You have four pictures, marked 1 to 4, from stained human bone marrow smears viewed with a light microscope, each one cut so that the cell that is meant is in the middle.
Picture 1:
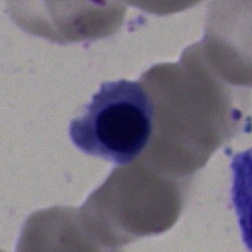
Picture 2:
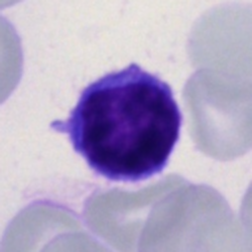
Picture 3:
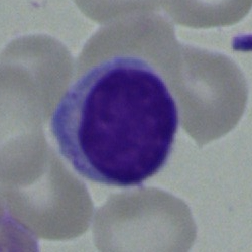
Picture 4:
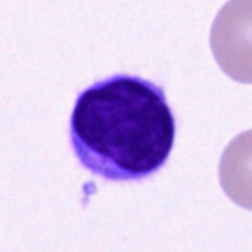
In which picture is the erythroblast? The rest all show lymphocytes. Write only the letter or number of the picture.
1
